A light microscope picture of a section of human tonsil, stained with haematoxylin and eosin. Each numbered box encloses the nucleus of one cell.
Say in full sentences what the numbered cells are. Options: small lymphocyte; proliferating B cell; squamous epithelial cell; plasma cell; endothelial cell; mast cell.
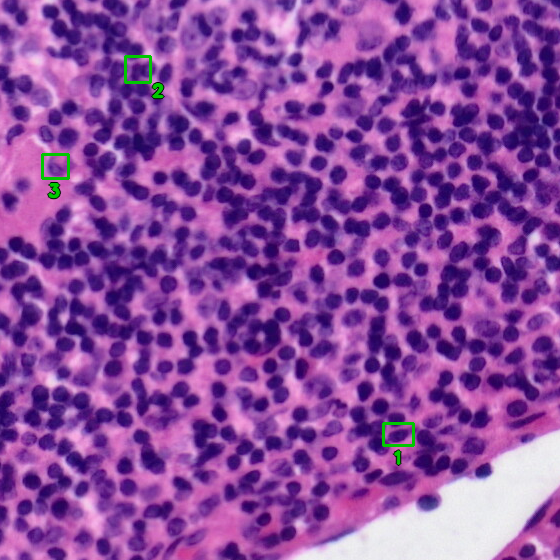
Cells 1 and 2 are small lymphocytes. Cell 3 is an endothelial cell.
